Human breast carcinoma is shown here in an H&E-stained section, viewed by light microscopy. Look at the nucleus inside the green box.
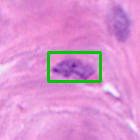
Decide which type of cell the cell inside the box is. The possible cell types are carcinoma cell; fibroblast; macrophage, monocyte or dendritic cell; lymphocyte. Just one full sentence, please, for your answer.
The identity of the cell inside the box is that of a fibroblast.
